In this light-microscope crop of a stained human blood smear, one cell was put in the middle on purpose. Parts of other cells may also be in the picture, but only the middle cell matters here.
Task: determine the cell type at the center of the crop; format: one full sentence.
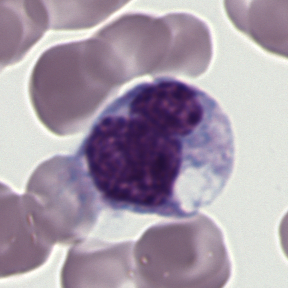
At the middle of the frame sits a monocyte.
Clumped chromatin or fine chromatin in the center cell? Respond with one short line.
Answer: the chromatin in this nucleus is coarsely clumped.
